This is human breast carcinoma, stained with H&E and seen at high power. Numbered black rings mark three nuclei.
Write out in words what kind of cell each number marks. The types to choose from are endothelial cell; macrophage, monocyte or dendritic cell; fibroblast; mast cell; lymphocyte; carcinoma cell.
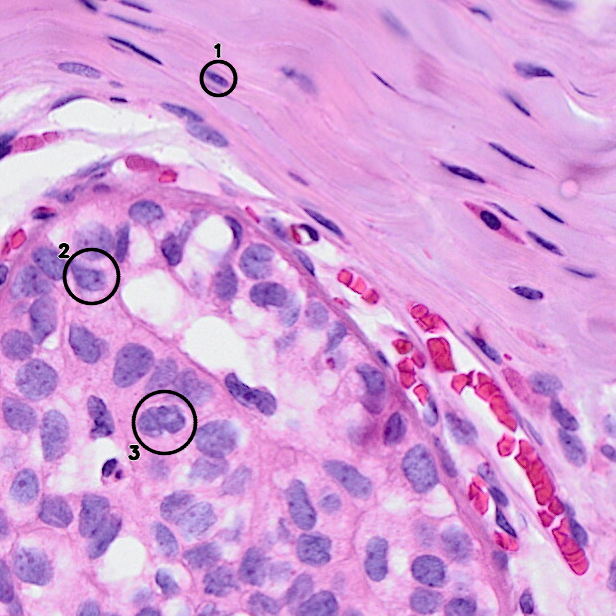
Cell 1 is a fibroblast. Cells 2 and 3 are carcinoma cells.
